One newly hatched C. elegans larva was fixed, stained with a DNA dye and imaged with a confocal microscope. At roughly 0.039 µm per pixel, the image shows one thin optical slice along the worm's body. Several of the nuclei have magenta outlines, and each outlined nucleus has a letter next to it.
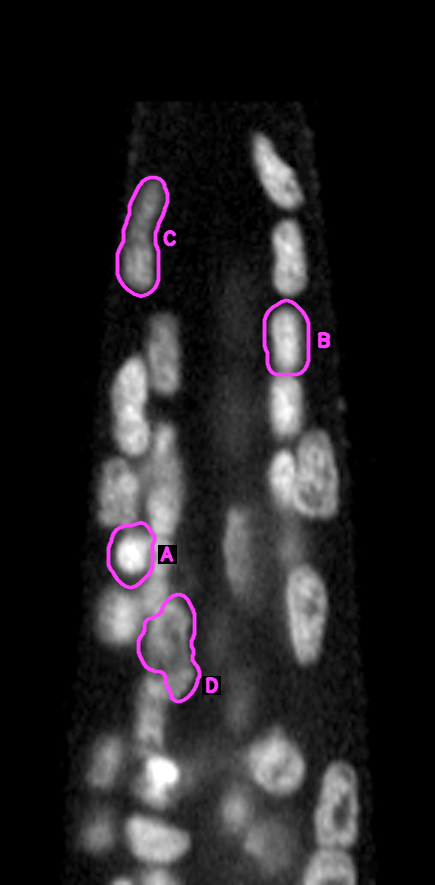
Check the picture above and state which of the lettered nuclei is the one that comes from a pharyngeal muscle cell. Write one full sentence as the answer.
D is from a pharyngeal muscle cell.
